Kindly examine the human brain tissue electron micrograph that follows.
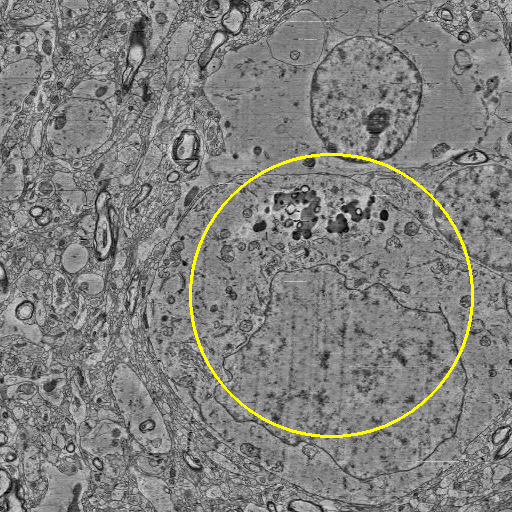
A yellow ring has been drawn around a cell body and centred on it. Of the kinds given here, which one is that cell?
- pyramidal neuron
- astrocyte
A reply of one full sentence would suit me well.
The micrograph's ringed cell, the one at the ring's centre, is a pyramidal neuron.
